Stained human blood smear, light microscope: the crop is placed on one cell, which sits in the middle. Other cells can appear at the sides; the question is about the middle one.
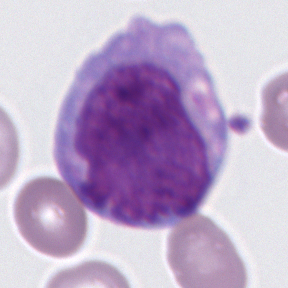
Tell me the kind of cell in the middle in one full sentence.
Of the cells in this crop, the central one is an atypical promyelocyte.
